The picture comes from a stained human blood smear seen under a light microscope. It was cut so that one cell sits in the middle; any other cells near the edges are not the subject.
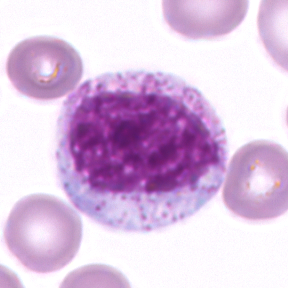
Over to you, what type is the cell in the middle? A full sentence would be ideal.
The cell of interest, located centrally, is a metamyelocyte.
